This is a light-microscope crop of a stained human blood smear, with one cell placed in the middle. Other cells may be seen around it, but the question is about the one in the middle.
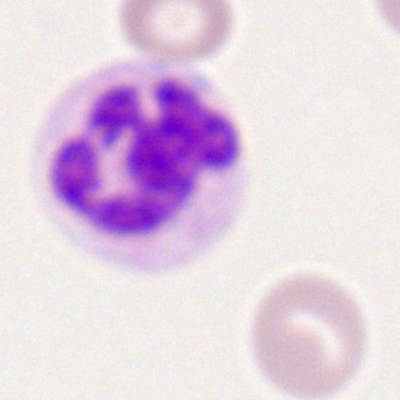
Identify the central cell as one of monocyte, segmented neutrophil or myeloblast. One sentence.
The middle cell in this particular crop is a segmented neutrophil.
